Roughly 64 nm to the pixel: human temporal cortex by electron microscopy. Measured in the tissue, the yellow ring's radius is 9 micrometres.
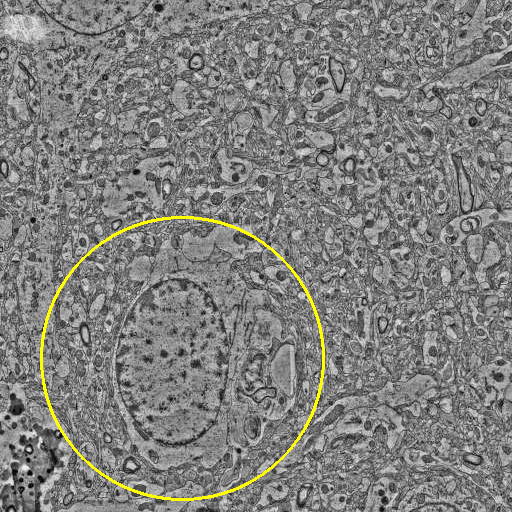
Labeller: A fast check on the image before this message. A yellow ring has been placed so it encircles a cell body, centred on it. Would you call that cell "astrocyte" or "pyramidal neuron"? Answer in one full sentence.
In this image, an astrocyte is the cell on which the yellow ring is centred.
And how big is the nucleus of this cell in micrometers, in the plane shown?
Roughly 11 by 7 micrometres in this plane, for the nucleus of the ringed cell.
